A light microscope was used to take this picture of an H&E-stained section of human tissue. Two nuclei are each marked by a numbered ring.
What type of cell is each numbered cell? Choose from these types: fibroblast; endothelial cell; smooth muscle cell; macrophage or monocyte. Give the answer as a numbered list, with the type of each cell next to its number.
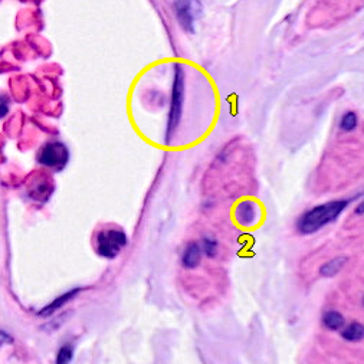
1. endothelial cell
2. smooth muscle cell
